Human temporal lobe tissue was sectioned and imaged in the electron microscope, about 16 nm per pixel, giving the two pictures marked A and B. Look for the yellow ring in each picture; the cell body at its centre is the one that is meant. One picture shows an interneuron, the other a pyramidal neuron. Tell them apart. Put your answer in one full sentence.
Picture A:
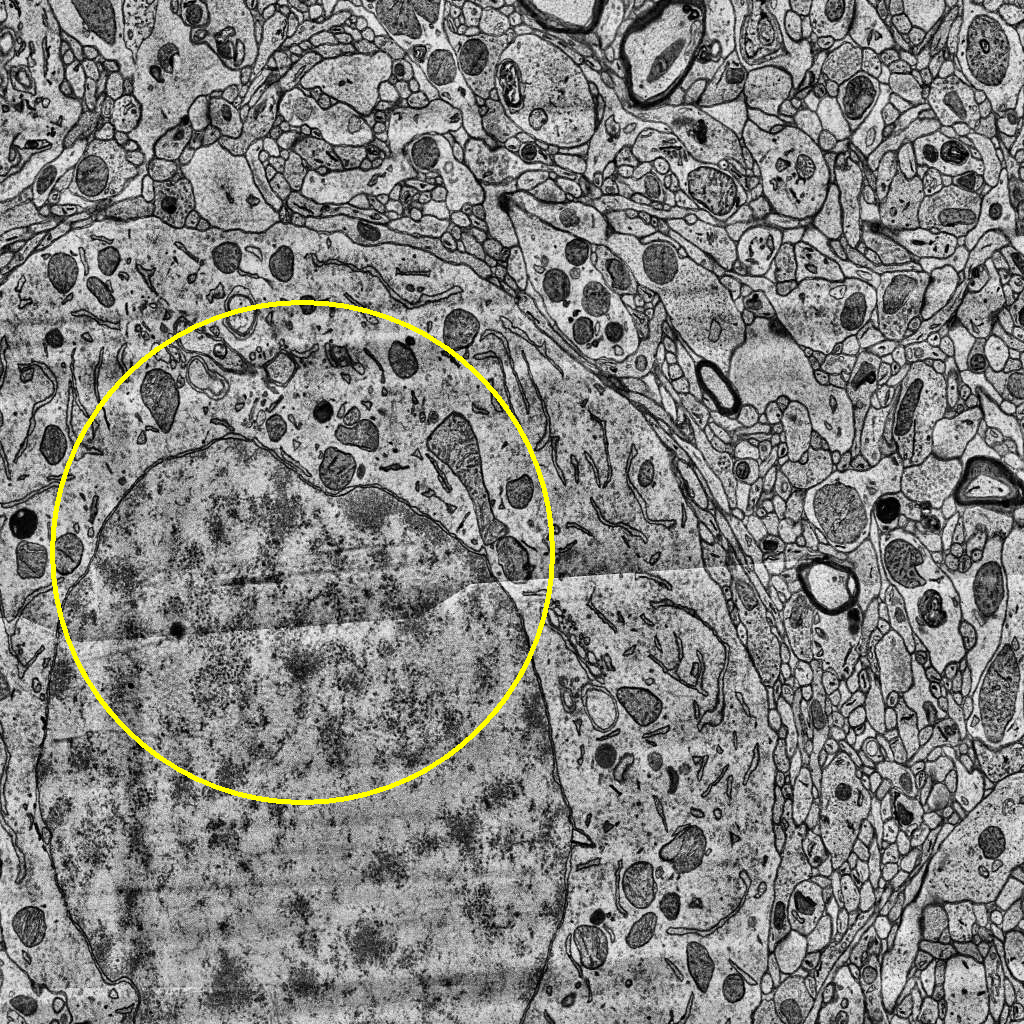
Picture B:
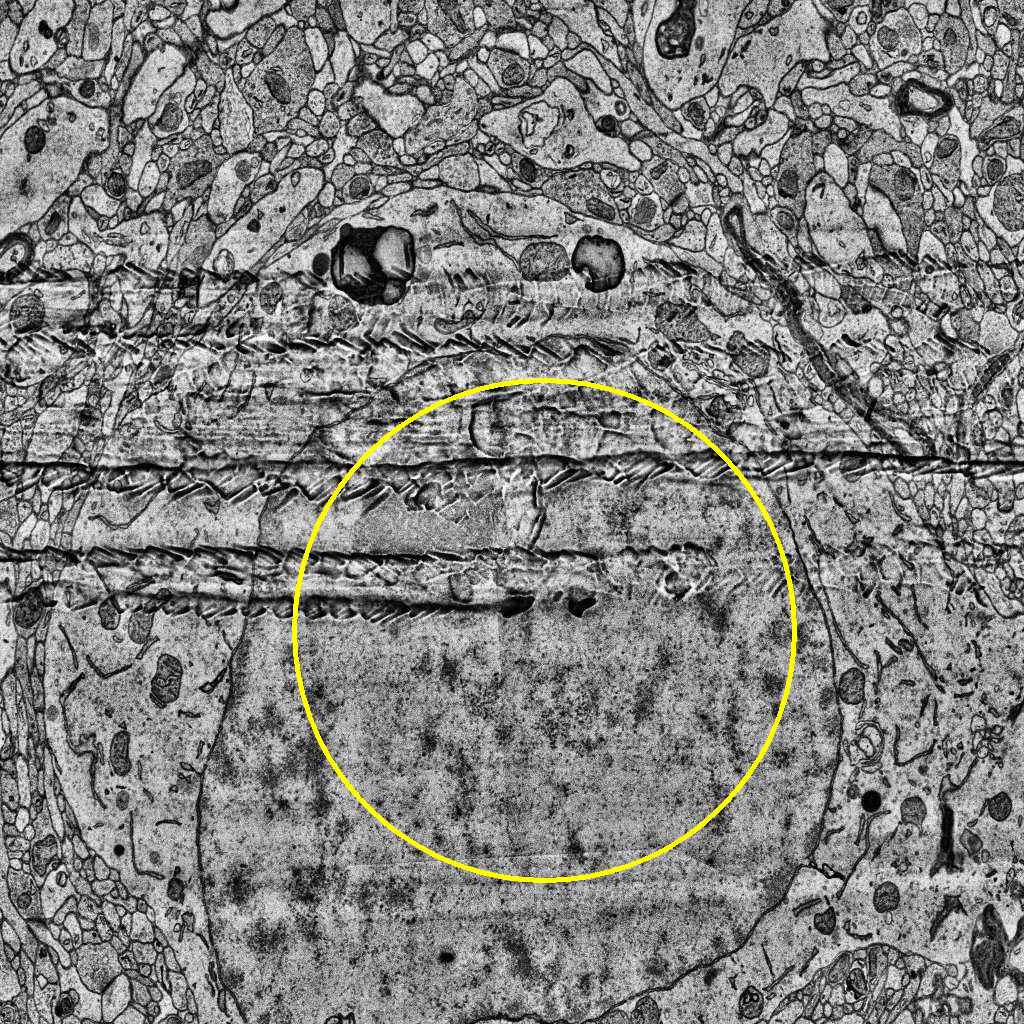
It is picture A that shows an interneuron, and picture B that shows a pyramidal neuron.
